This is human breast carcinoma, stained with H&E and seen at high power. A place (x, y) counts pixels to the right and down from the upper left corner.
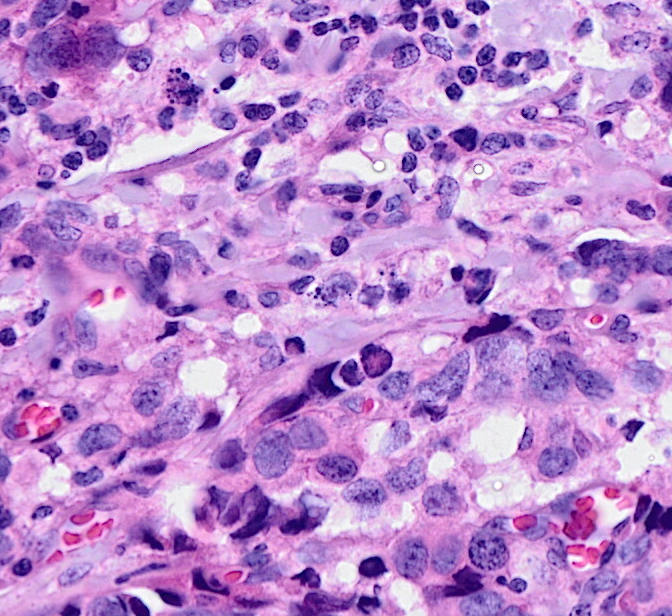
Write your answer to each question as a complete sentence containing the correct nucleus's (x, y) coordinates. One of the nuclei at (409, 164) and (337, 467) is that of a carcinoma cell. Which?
Of the two nuclei, the one sitting at (337, 467) belongs to a carcinoma cell.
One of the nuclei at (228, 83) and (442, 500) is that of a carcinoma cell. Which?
Of the two nuclei, the nucleus belonging to a carcinoma cell is located at (442, 500).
